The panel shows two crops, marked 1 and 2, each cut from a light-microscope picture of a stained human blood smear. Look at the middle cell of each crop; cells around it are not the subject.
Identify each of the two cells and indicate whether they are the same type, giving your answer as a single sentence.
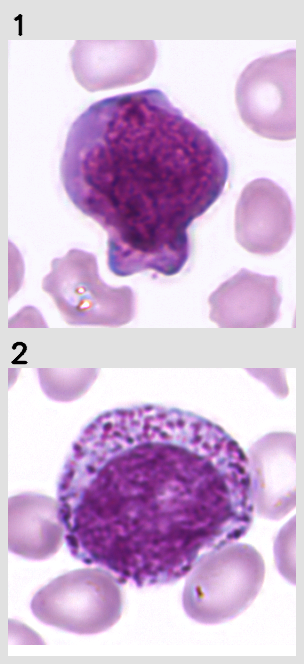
No, crop 2 holds a myelocyte, while crop 1 holds an atypical promyelocyte.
